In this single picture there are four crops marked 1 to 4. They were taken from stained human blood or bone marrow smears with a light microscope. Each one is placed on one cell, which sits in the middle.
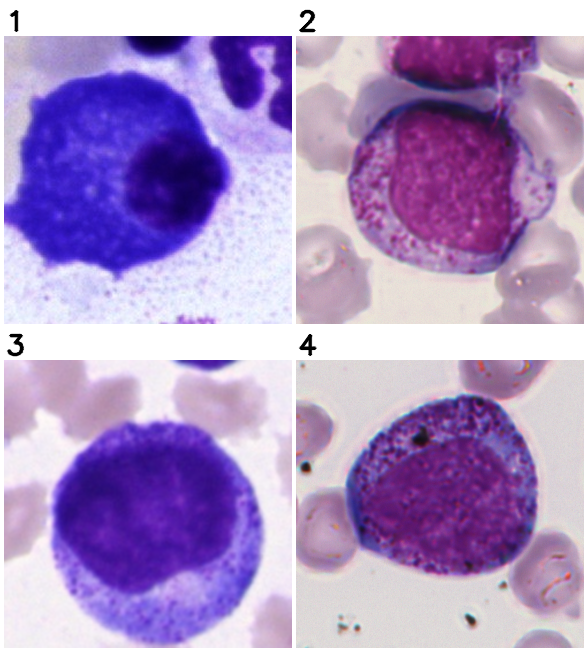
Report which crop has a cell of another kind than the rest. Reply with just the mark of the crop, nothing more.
1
